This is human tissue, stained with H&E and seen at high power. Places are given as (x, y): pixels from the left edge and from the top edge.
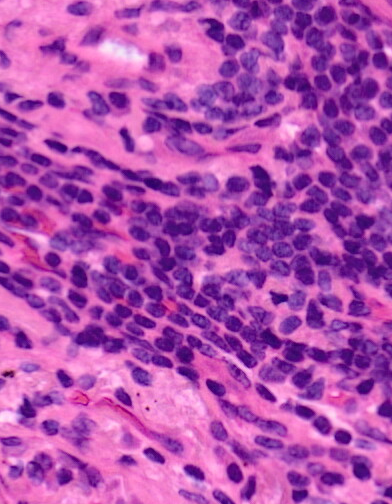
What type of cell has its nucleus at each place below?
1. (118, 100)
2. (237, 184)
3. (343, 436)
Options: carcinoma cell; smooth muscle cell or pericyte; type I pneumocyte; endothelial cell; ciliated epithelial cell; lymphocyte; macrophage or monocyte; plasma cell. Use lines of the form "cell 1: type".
cell 1: plasma cell
cell 2: lymphocyte
cell 3: lymphocyte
